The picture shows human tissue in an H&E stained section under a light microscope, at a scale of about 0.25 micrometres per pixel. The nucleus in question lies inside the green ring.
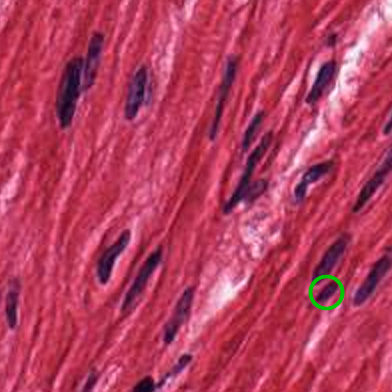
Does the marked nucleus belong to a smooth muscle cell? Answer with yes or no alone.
yes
